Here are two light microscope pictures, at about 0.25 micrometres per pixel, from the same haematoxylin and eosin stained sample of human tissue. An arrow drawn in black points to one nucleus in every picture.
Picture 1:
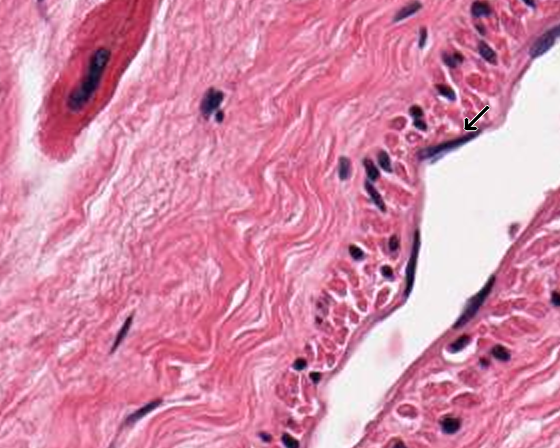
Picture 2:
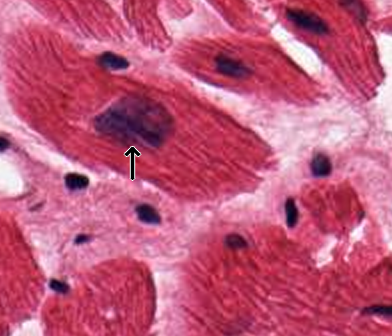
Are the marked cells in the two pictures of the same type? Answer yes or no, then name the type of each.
No, the first is an endothelial cell and the second a cardiomyocyte.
